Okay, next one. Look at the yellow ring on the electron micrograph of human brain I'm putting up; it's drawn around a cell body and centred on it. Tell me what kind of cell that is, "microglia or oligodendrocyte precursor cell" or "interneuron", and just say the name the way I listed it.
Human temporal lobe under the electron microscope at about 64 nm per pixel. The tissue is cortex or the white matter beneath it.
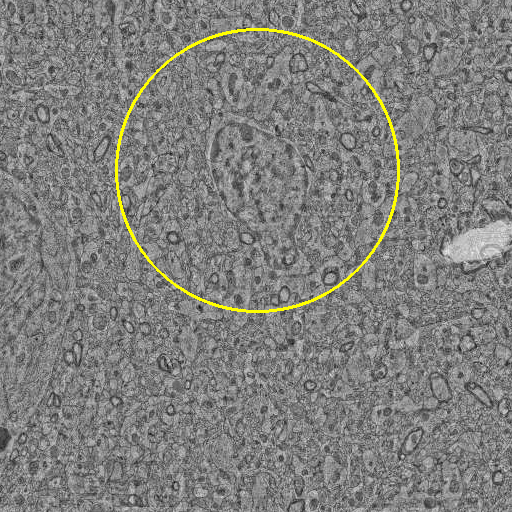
microglia or oligodendrocyte precursor cell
